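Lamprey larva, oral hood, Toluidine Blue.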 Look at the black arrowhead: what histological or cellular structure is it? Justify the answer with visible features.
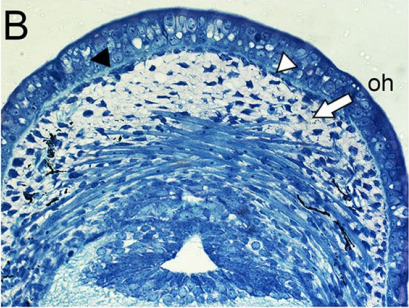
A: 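The arrowhead lies at the boundary between the dark blue surface epithelium and the underlying pale tissue. That points to this answer: basement membranes.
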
